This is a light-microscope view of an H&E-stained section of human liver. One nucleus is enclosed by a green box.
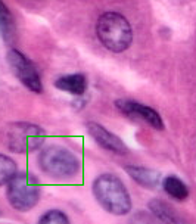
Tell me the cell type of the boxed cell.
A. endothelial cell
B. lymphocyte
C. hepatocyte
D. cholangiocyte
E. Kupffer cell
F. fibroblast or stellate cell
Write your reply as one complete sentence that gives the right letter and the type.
Option D stands as correct, with the boxed cell being a cholangiocyte.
